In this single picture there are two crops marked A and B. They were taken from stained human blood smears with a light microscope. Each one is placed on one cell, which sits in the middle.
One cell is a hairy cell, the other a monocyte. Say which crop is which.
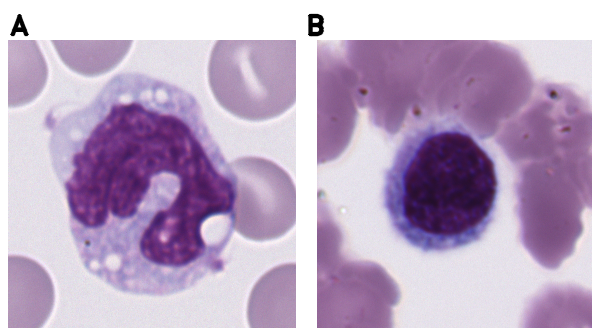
A: monocyte
B: hairy cell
